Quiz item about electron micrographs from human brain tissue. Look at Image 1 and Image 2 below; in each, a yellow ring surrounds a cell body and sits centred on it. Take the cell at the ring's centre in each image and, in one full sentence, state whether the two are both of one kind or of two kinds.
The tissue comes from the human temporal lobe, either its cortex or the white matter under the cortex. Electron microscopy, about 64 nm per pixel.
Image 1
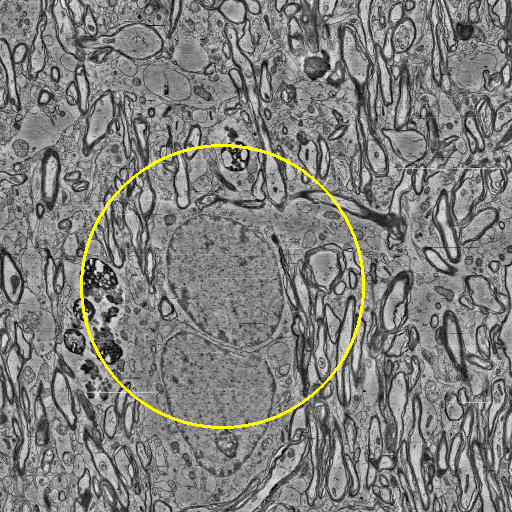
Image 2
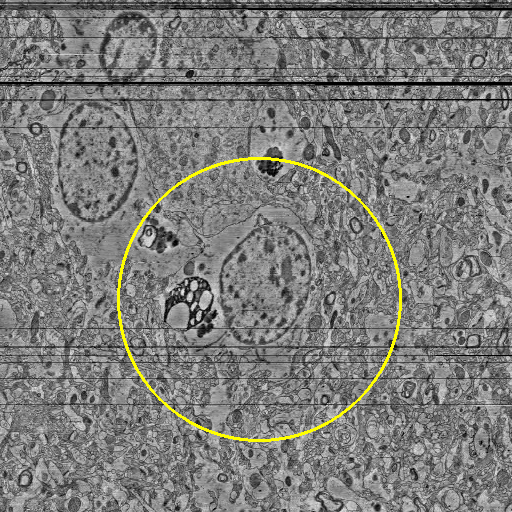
In Image 1 and Image 2, the cells at the ring centres are both of one kind.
